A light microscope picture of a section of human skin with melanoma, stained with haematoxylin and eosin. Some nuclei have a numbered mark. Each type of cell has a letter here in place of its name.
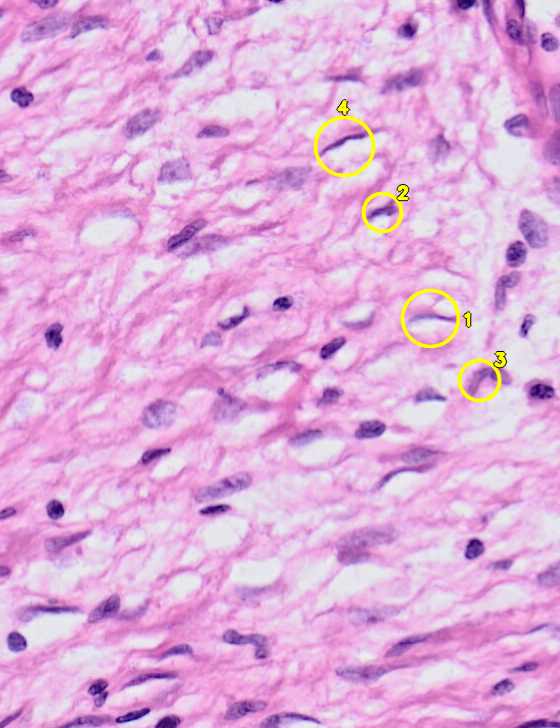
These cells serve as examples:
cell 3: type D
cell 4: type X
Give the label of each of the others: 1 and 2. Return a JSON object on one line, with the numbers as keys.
{"1": "type X", "2": "type X"}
